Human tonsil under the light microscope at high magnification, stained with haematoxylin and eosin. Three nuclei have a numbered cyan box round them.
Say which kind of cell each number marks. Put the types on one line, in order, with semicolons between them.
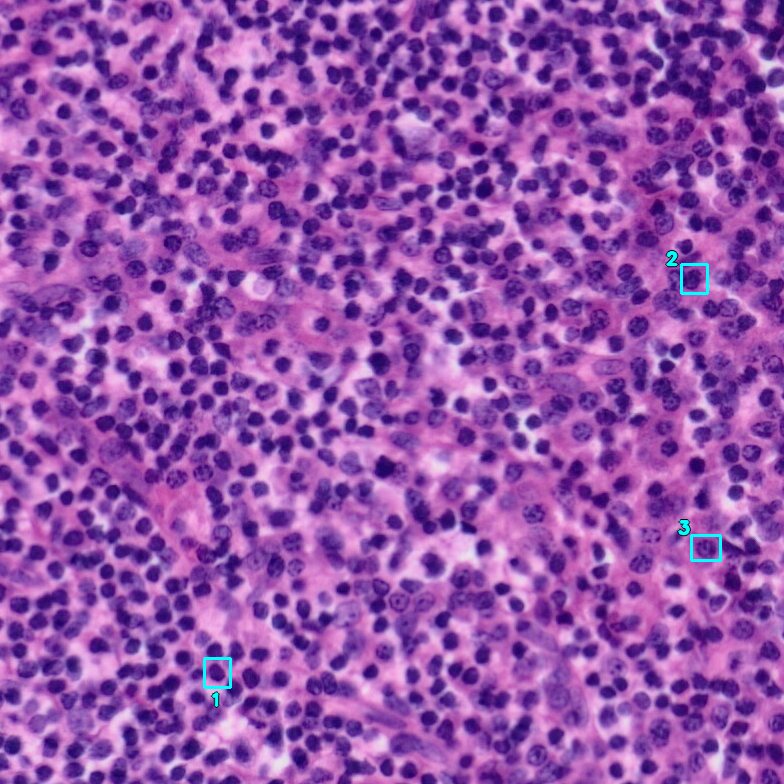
small lymphocyte; plasma cell; plasma cell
